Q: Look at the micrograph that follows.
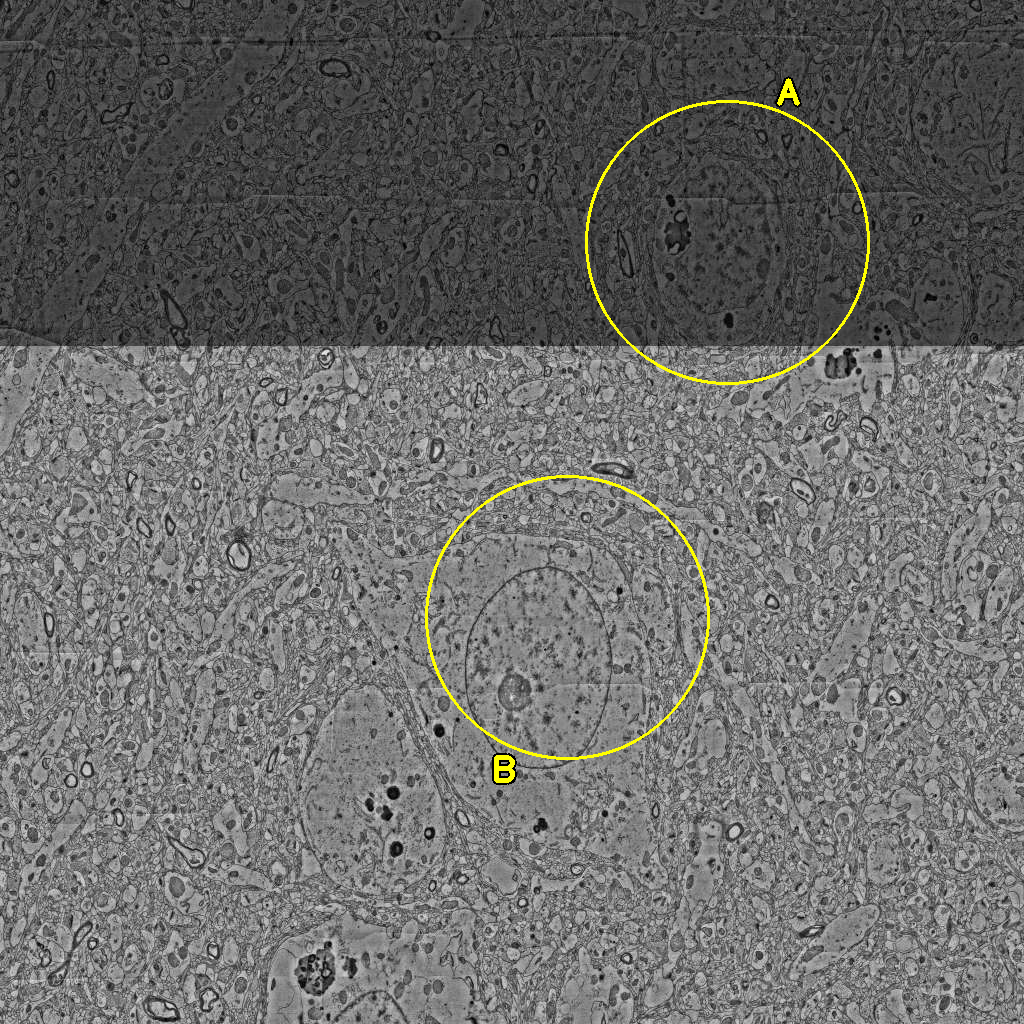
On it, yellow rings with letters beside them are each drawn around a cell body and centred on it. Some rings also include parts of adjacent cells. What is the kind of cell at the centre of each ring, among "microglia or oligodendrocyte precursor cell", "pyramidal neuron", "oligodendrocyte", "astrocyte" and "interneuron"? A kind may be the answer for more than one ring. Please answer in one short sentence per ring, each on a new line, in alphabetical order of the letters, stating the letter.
Ring A surrounds the cell body of an interneuron.
Ring B surrounds the cell body of a pyramidal neuron.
